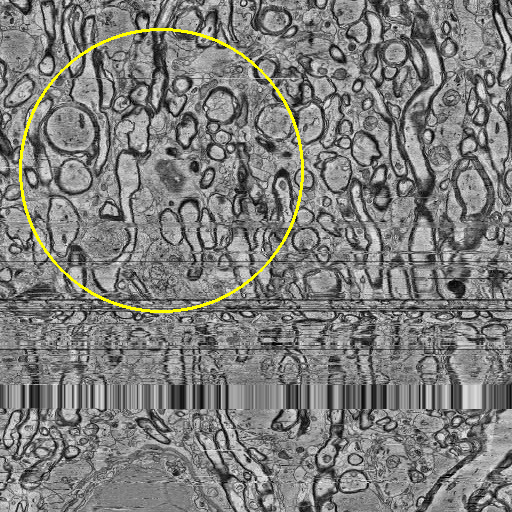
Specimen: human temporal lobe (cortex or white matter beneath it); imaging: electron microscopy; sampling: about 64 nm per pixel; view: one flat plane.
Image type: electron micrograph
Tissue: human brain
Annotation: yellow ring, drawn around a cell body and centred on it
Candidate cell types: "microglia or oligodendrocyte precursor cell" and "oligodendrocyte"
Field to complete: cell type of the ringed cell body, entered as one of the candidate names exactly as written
oligodendrocyte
